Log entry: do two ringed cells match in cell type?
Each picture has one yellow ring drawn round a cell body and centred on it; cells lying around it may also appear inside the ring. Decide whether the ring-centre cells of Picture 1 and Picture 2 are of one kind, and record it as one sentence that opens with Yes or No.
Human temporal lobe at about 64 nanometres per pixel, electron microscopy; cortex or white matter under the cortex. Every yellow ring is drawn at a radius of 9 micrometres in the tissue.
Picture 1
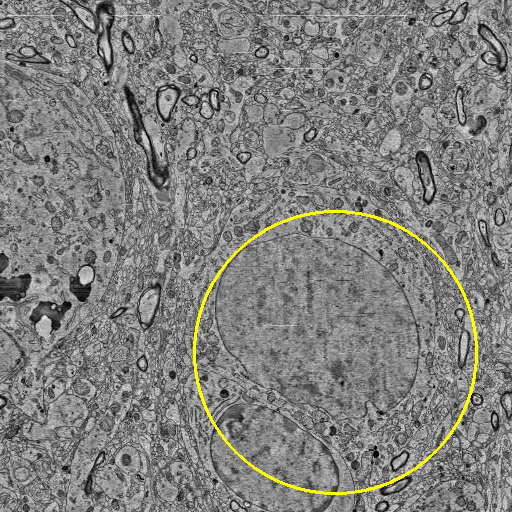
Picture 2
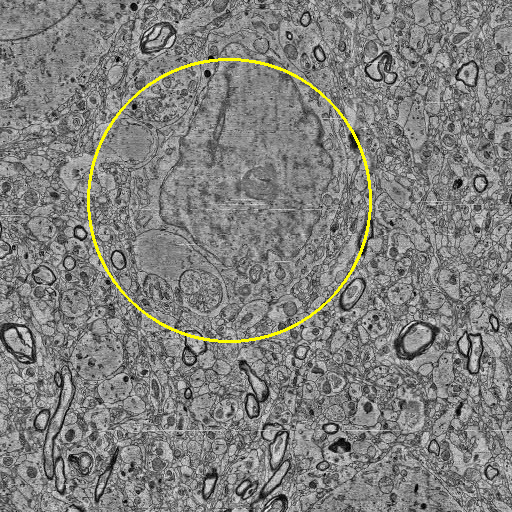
Yes, the cells at the ring centres of the two pictures belong to one kind.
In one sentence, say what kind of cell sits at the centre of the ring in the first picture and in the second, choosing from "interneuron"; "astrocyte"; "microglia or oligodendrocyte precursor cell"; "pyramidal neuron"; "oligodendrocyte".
Each of the two pictures has an interneuron at the ring centre.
